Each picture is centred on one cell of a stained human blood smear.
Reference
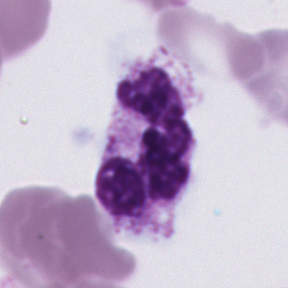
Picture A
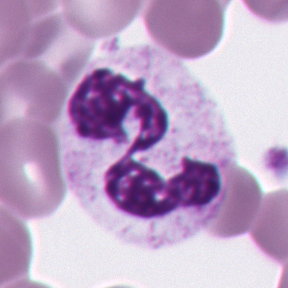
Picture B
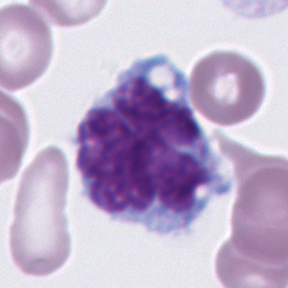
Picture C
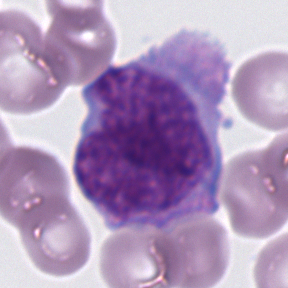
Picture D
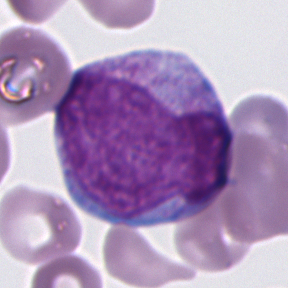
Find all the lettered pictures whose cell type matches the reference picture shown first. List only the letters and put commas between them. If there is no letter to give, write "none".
A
